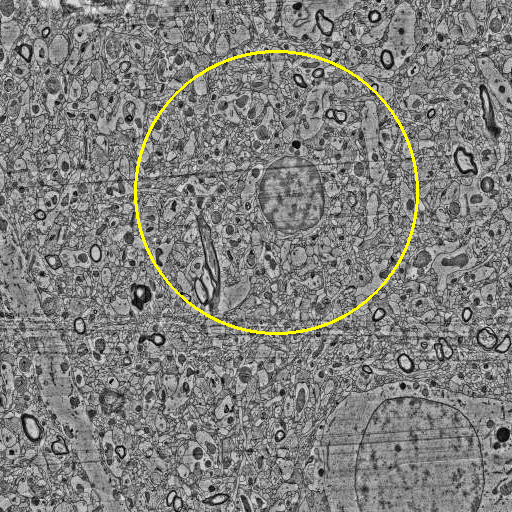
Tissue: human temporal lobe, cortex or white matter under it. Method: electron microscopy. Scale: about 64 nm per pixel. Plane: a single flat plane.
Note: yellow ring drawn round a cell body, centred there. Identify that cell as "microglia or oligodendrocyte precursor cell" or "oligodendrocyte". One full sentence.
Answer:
The cell in the middle of the ring is an oligodendrocyte.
